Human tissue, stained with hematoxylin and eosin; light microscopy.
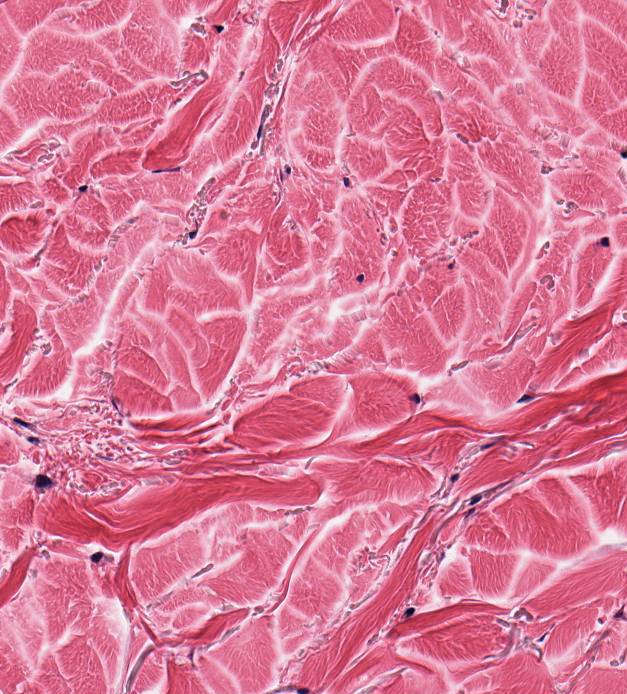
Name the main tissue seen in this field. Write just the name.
dermis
